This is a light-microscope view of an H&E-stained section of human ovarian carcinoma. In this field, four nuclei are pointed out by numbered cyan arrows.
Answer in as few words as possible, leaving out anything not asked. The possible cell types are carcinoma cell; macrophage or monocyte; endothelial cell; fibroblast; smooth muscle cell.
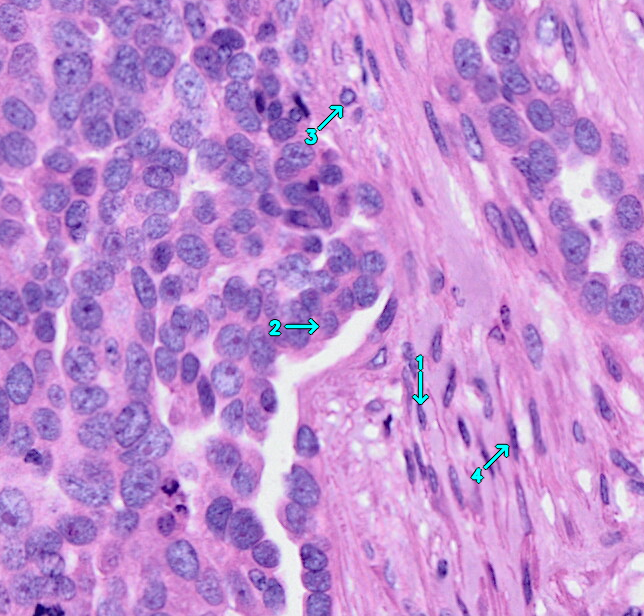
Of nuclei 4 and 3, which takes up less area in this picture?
3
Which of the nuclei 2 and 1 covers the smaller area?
1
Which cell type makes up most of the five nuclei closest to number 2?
carcinoma cell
